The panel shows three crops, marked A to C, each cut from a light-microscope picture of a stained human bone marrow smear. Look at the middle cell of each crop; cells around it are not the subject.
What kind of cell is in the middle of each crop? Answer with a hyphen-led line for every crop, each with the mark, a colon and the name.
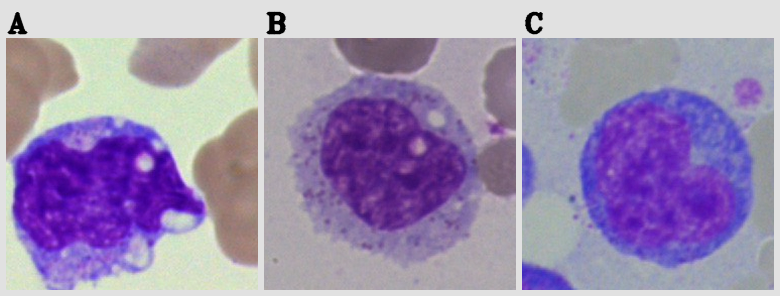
- A: monocyte
- B: myelocyte
- C: monocyte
